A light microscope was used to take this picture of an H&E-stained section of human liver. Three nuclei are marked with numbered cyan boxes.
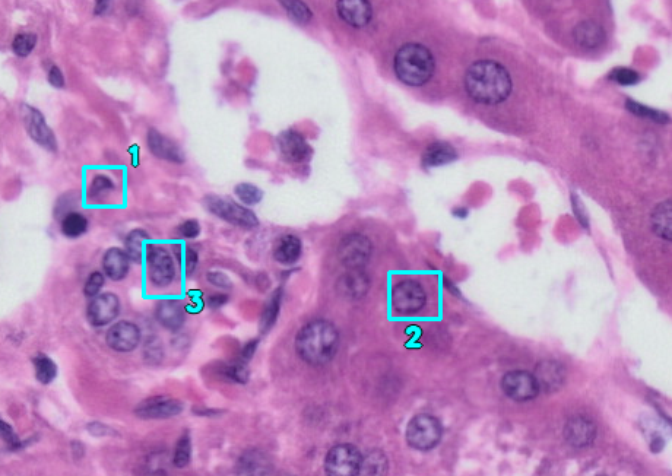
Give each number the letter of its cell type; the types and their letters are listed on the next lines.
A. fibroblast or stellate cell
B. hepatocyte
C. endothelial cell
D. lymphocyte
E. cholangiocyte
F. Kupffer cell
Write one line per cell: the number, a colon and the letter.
1: A
2: B
3: E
